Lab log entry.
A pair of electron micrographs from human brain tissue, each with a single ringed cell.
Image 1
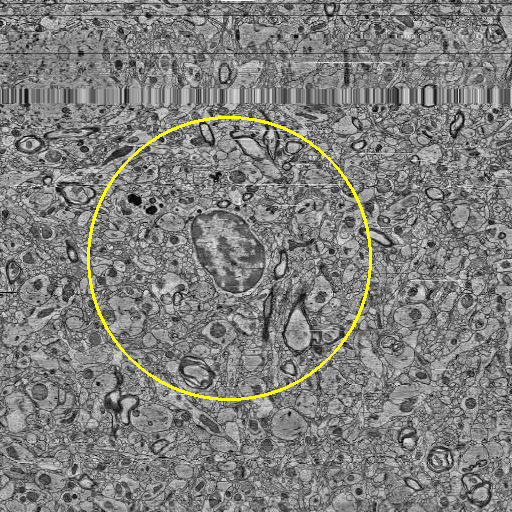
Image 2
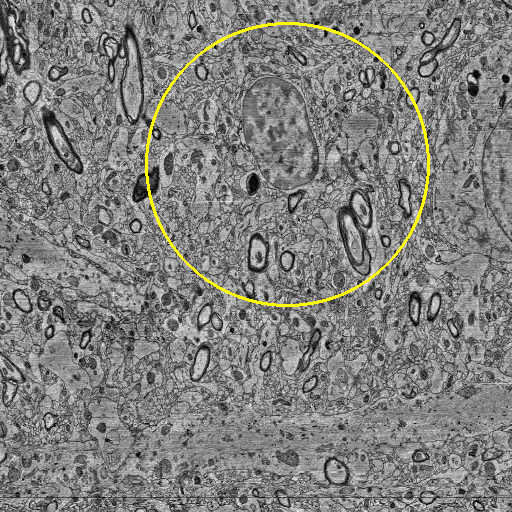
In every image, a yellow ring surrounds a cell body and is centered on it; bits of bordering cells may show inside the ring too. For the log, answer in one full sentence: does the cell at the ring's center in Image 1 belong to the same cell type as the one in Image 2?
Yes, the cells at the ring centers in Image 1 and Image 2 share one type.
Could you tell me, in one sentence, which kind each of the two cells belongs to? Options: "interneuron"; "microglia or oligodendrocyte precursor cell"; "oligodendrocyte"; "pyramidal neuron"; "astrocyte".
Both rings mark a microglial cell or oligodendrocyte precursor cell, one in each picture.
